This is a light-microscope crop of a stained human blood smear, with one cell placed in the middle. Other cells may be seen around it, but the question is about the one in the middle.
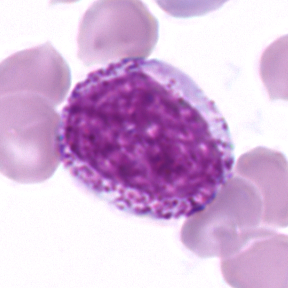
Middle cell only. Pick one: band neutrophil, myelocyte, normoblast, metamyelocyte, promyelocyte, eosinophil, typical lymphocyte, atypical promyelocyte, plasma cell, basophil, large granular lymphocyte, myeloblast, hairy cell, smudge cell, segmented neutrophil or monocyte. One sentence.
Answering briefly, the cell in the middle is a myelocyte.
